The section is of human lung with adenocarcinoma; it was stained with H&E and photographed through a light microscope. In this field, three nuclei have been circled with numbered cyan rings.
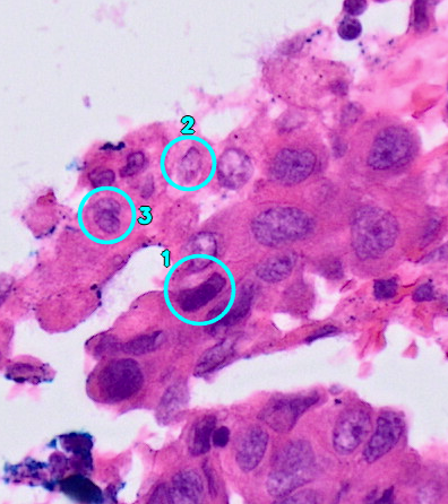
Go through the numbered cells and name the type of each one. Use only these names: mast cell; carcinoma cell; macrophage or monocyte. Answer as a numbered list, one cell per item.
1. carcinoma cell
2. macrophage or monocyte
3. macrophage or monocyte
